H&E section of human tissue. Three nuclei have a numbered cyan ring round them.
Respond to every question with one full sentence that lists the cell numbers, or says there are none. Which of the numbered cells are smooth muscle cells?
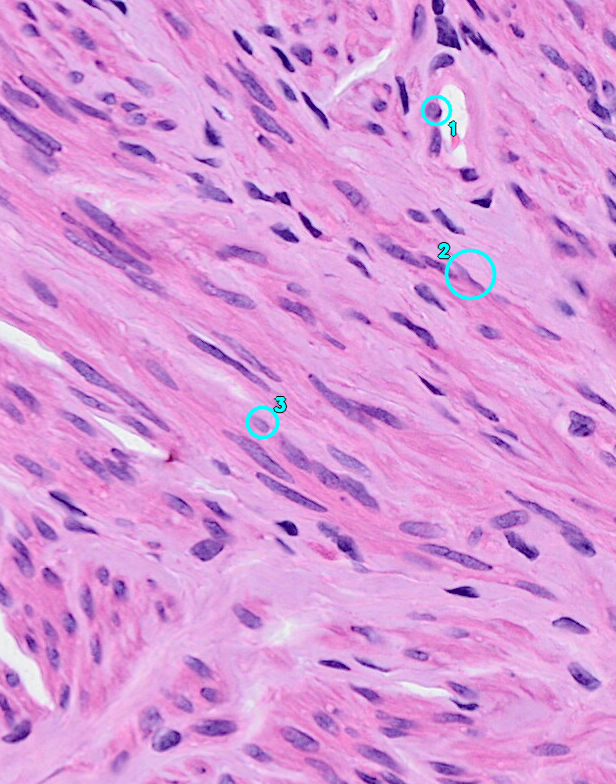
The cells tagged 2 and 3 are smooth muscle cells in this tissue section.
